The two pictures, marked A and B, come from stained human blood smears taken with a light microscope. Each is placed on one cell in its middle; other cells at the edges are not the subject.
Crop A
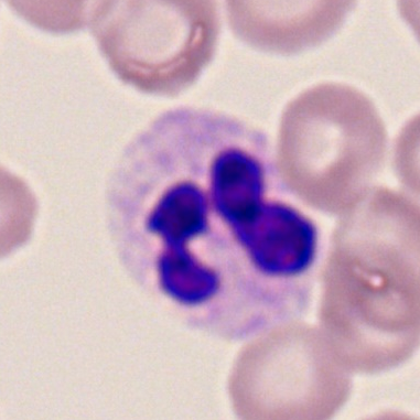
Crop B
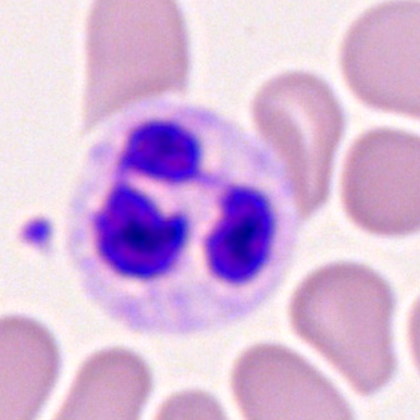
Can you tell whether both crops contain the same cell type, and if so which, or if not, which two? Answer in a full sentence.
Yes, the two crops show segmented neutrophils at their centres.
